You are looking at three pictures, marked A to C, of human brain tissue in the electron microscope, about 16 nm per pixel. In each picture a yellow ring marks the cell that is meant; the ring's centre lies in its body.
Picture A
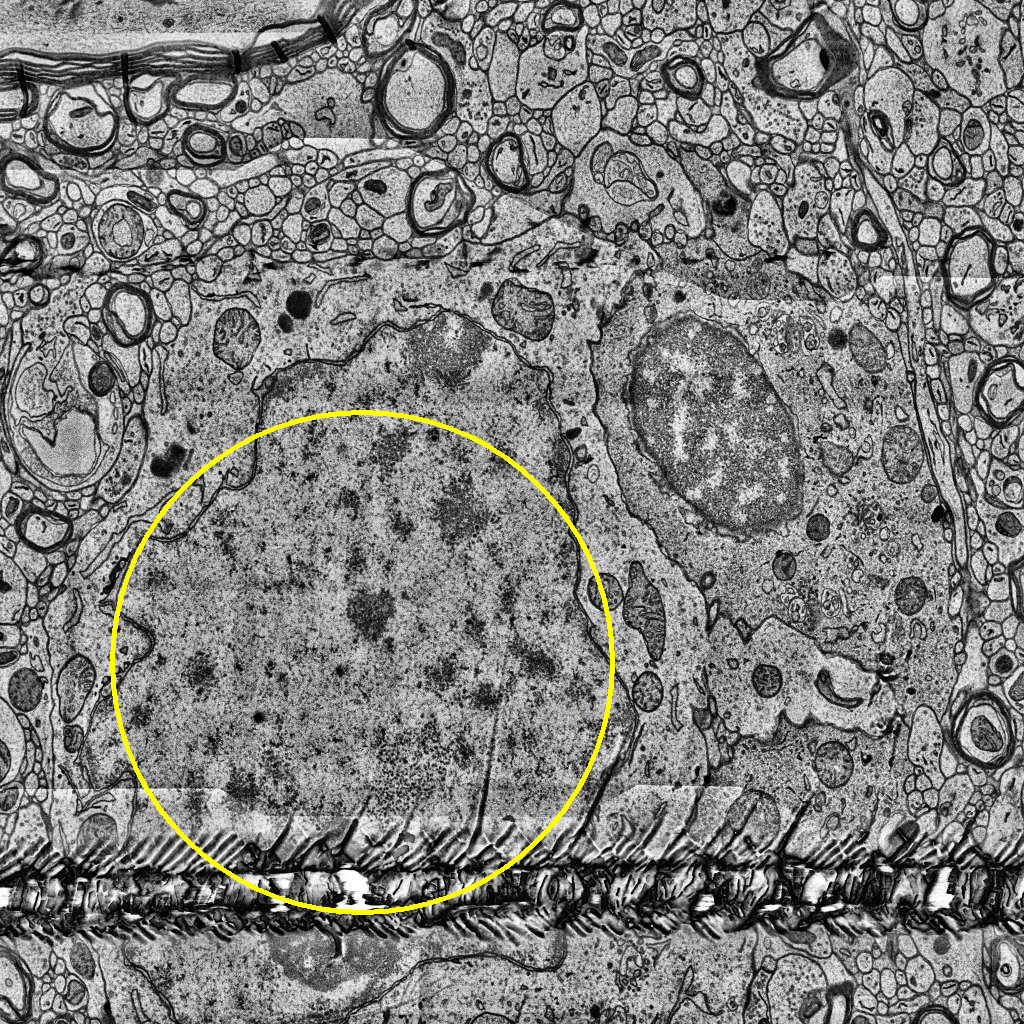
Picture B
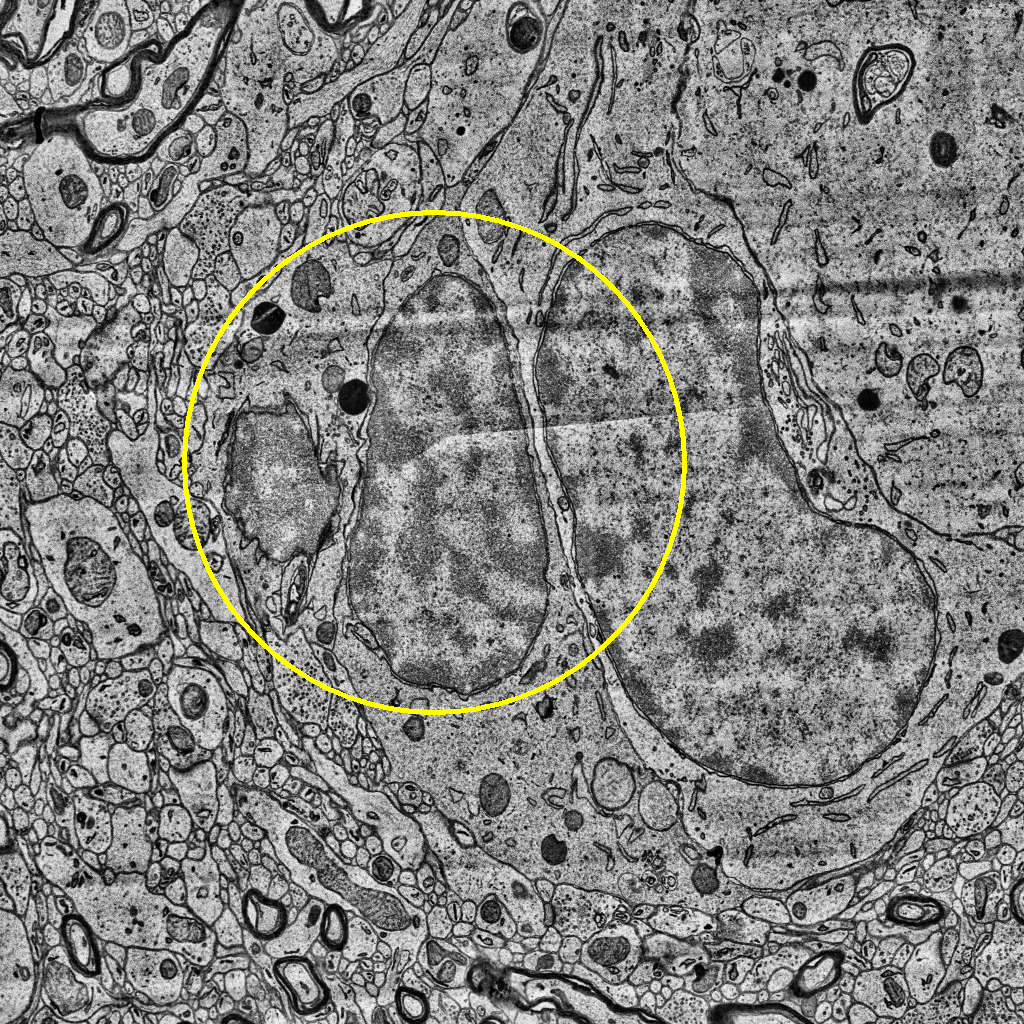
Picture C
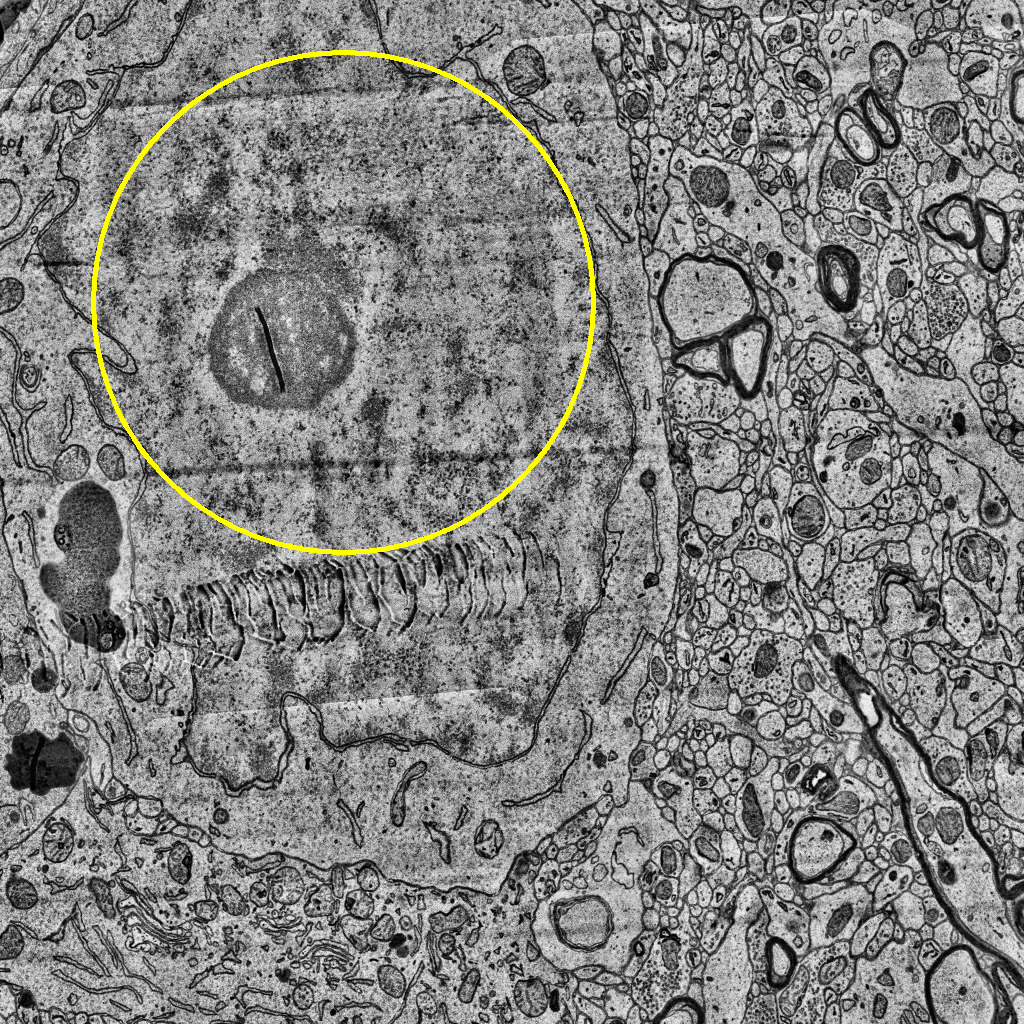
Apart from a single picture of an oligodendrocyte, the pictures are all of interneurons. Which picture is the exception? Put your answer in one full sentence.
The picture with the oligodendrocyte is B.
